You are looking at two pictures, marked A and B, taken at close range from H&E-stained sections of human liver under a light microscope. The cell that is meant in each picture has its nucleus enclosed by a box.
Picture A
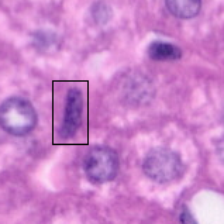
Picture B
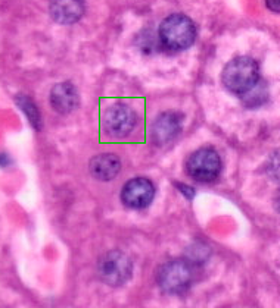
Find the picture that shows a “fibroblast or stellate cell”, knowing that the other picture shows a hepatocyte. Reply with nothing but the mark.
A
